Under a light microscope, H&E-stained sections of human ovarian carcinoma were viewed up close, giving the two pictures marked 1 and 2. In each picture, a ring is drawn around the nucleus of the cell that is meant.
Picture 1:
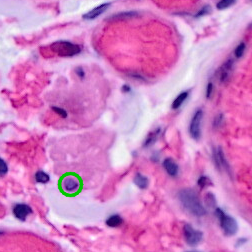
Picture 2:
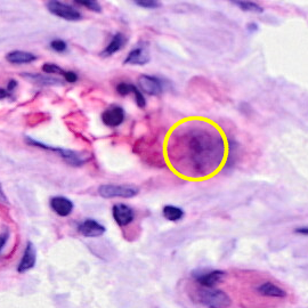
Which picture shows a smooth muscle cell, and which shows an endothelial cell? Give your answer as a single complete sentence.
Picture 1 is of a smooth muscle cell, and picture 2 is of an endothelial cell.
